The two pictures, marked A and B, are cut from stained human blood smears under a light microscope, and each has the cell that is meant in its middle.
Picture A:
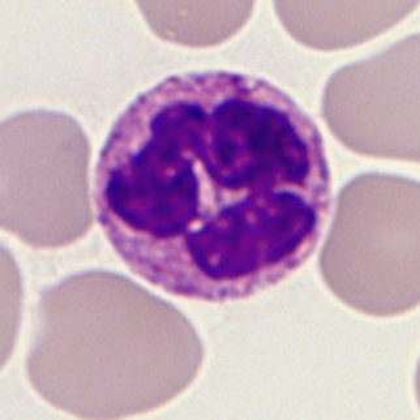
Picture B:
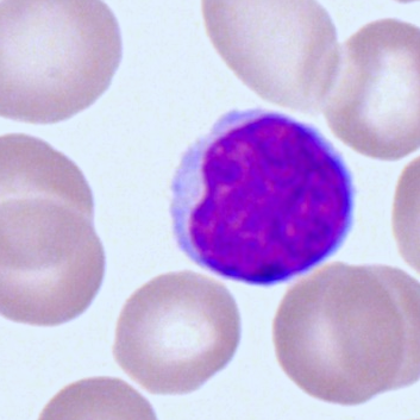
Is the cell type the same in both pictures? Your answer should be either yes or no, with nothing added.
no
